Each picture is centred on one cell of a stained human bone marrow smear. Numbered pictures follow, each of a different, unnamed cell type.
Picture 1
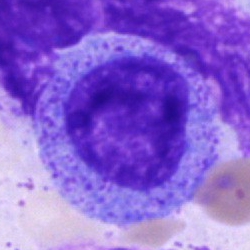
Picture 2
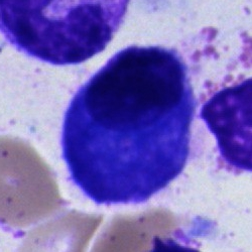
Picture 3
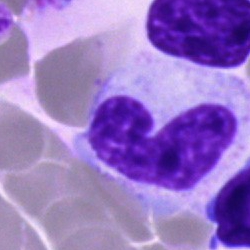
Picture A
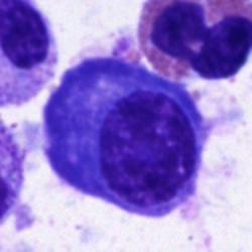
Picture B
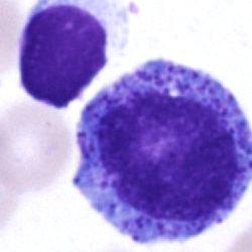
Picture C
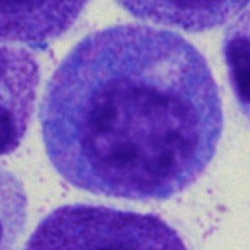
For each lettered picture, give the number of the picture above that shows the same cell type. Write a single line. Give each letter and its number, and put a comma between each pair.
A 2, B 1, C 1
